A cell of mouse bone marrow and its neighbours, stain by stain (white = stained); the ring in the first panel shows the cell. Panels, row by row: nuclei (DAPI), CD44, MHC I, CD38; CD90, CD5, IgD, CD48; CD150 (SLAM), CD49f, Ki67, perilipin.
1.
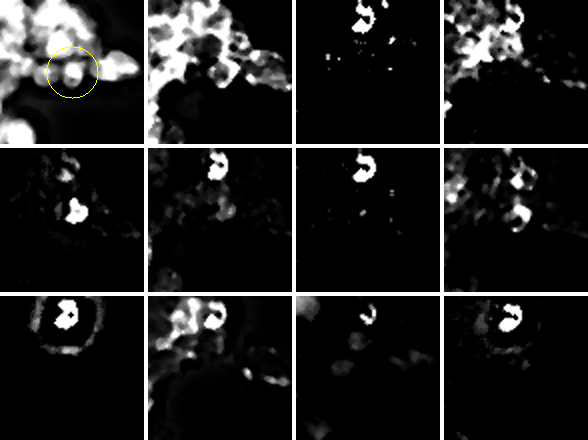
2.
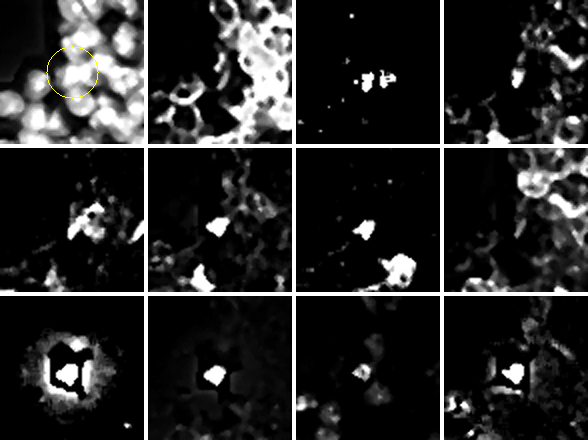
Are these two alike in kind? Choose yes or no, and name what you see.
No. First a monocyte, second a B cell.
